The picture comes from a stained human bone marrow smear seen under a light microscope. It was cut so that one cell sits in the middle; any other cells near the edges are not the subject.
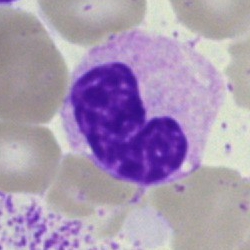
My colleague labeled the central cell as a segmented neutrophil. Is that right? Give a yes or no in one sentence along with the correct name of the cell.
Yes, it is a segmented neutrophil that occupies the centre of the crop.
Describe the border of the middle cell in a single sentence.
You can see a smooth boundary, with no projections sticking out.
